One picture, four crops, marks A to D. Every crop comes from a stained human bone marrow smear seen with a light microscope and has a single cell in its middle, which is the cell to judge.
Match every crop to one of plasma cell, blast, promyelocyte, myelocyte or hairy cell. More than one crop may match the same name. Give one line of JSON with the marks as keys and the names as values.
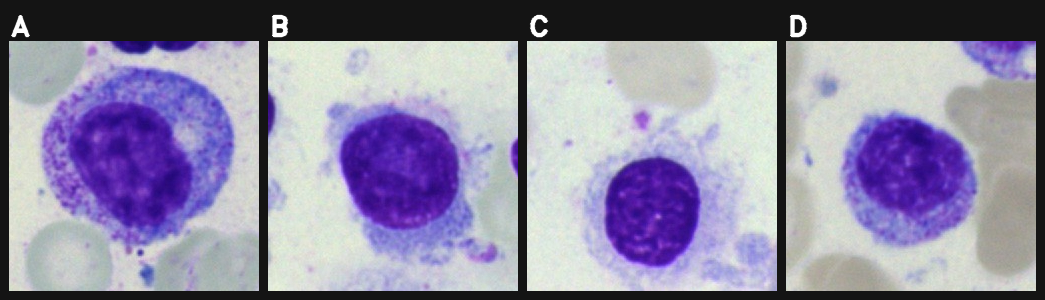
{"A": "promyelocyte", "B": "hairy cell", "C": "hairy cell", "D": "myelocyte"}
